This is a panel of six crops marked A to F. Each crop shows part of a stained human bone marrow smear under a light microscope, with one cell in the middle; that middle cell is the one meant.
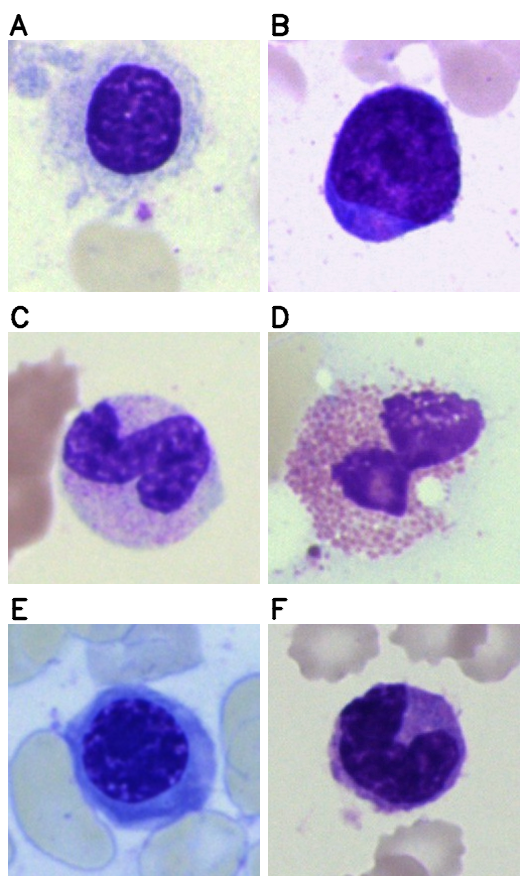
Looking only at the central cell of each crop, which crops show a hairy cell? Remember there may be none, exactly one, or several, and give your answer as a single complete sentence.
It is crop A, and no other, that shows a hairy cell.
